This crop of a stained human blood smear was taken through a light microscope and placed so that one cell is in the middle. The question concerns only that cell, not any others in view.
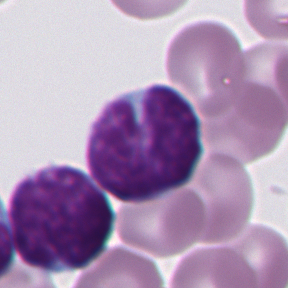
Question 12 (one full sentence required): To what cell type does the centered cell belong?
The cell under consideration, at the middle of the crop, is a lymphocyte.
